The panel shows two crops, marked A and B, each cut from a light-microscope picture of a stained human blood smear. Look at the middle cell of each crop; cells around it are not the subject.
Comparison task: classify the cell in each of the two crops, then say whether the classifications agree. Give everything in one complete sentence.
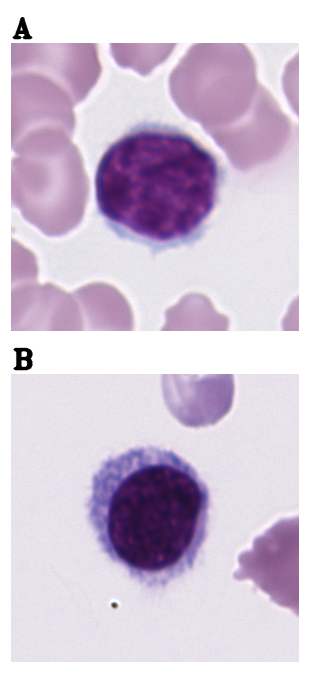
Yes, it is hairy cells that sit at the centre of both crops.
